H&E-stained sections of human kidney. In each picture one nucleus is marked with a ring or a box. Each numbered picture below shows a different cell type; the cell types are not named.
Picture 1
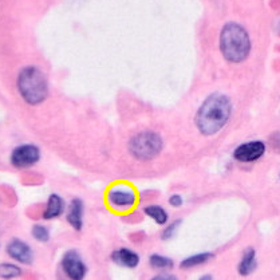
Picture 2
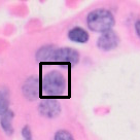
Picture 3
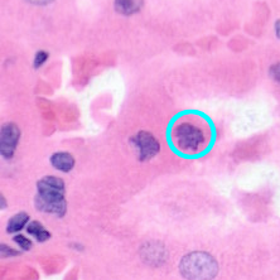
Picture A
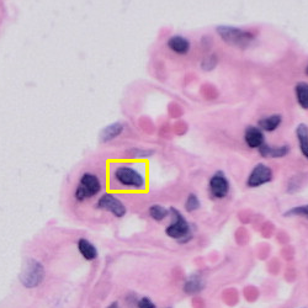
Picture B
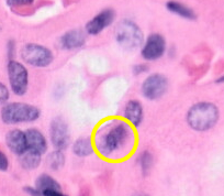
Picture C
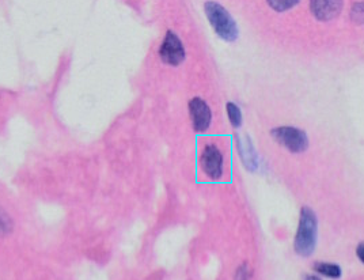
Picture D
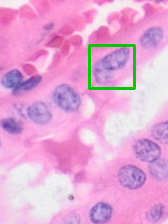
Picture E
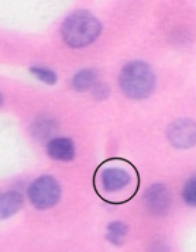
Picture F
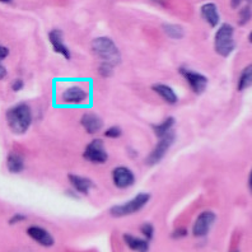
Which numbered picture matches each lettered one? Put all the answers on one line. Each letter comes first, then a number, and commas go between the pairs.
A 1, B 2, C 3, D 2, E 1, F 1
